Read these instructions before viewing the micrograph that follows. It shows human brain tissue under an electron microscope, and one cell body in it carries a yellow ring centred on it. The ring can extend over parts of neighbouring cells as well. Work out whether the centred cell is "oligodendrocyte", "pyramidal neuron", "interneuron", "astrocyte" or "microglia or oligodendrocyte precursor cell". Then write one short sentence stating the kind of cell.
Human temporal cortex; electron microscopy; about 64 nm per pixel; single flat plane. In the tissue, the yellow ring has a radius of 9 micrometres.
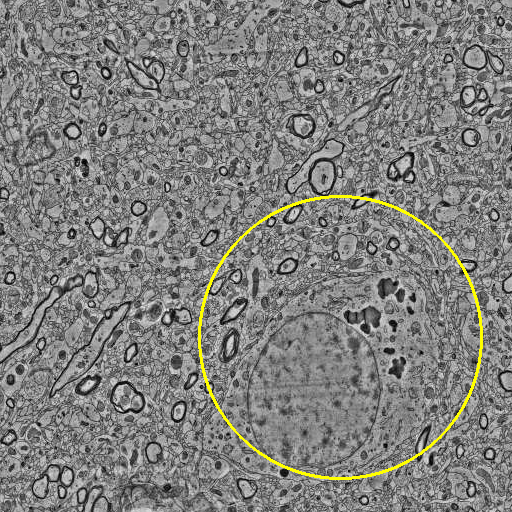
The ringed cell is an interneuron.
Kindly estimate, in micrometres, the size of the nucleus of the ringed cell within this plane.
In this plane, about 11 micrometres in length and 9 in width.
